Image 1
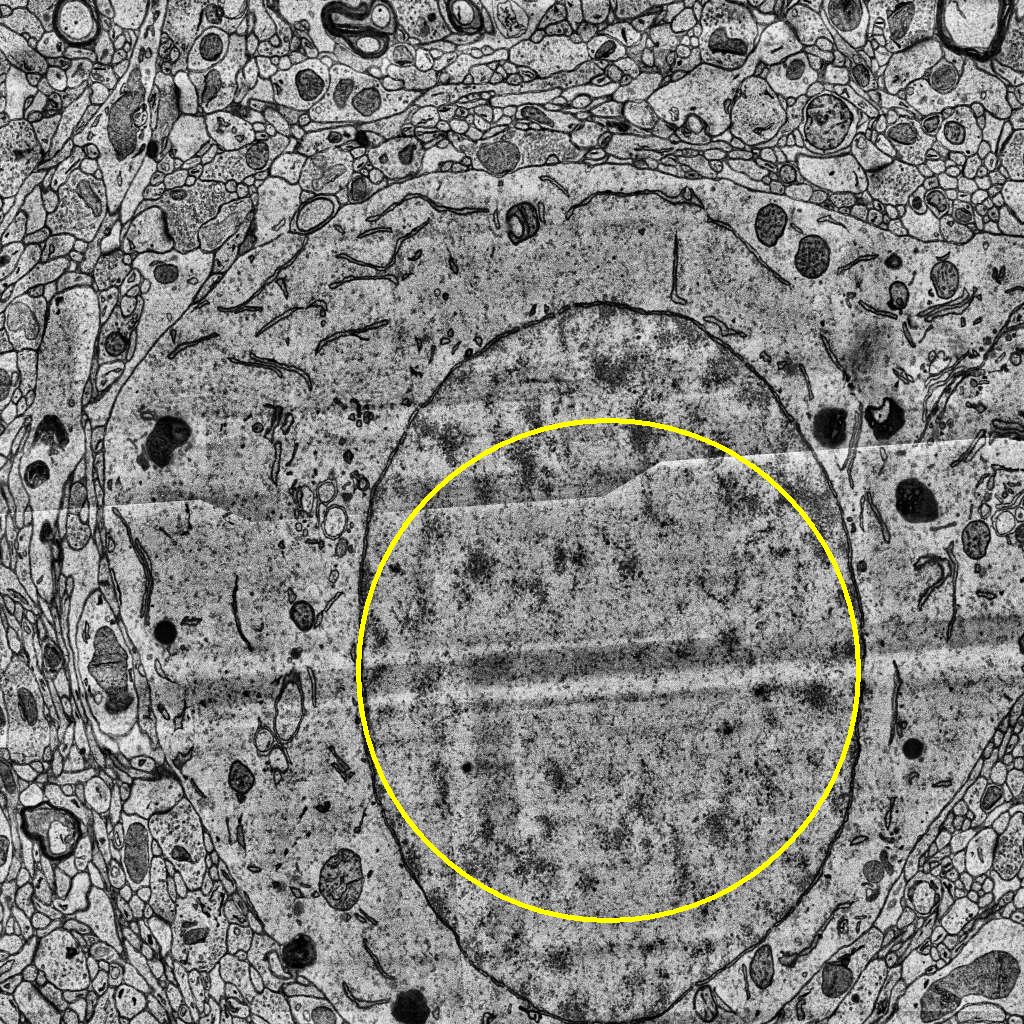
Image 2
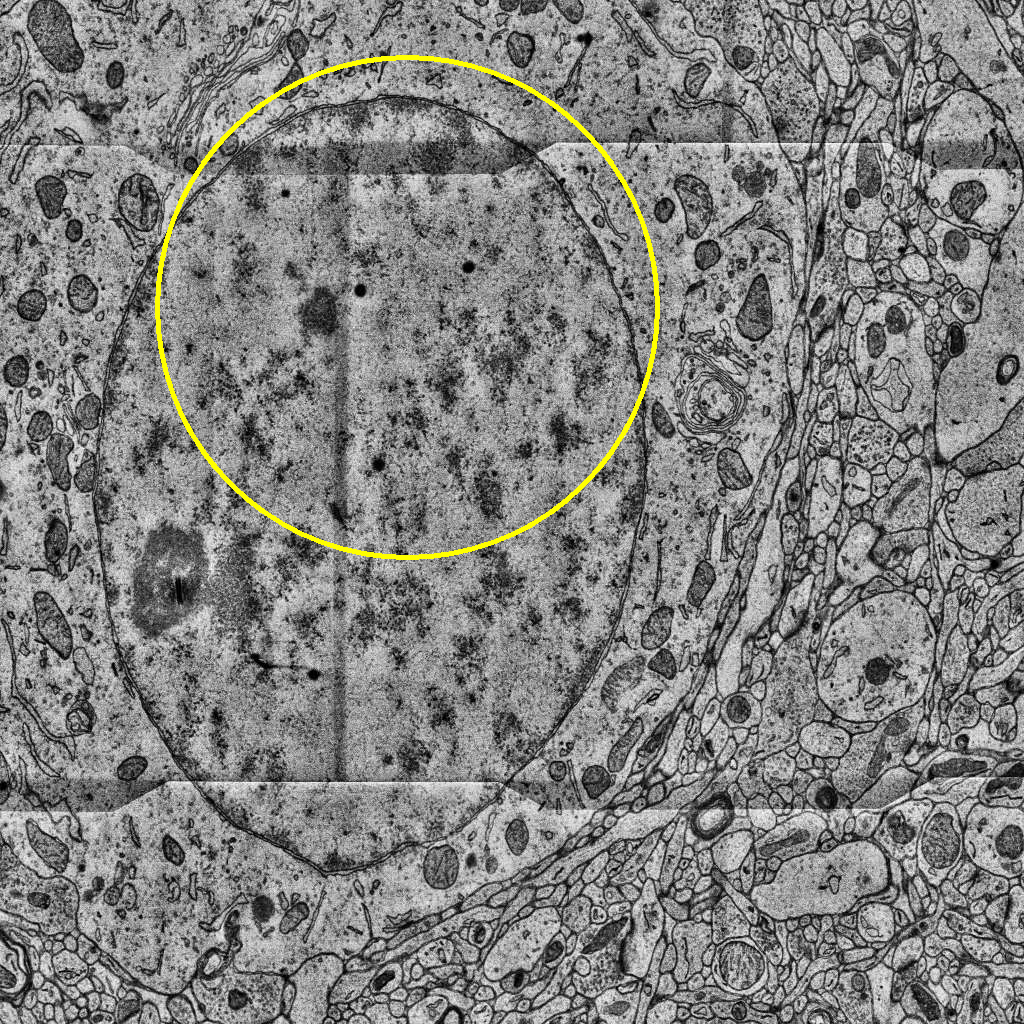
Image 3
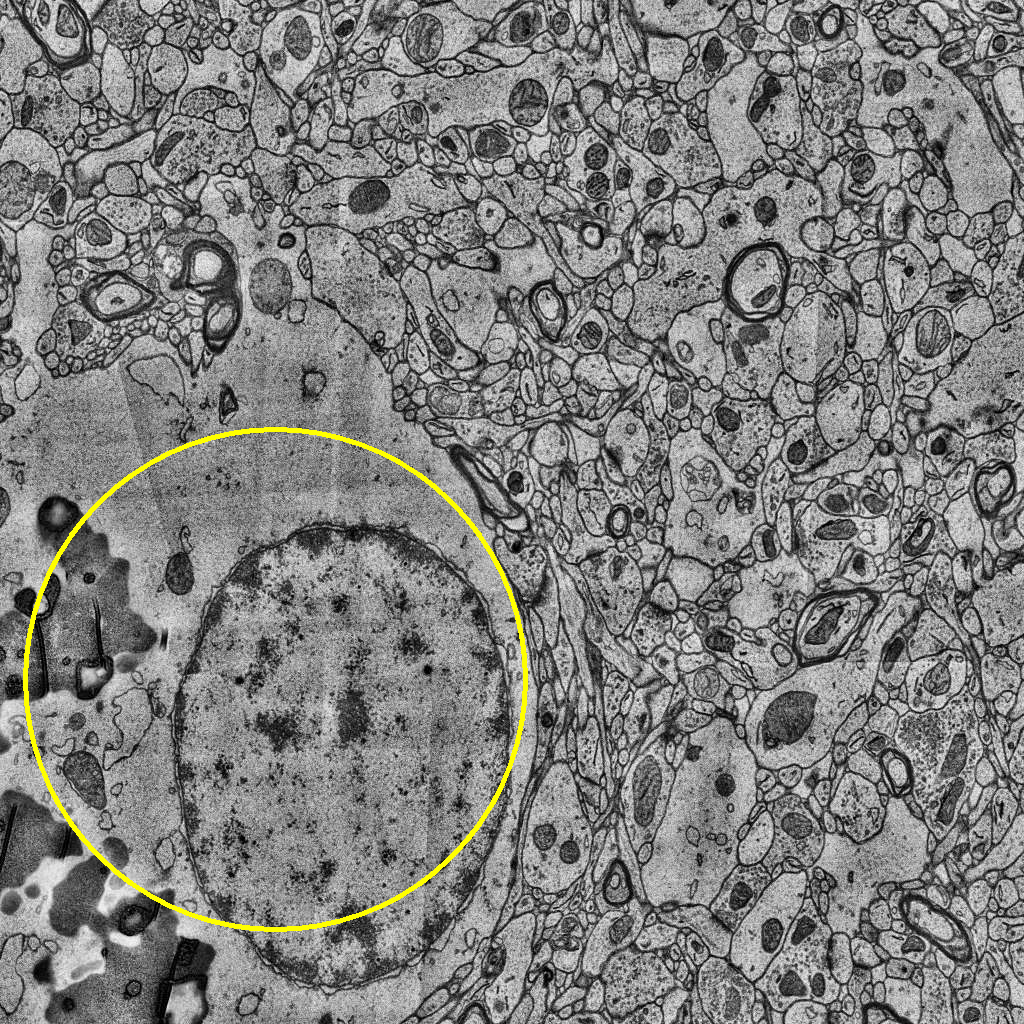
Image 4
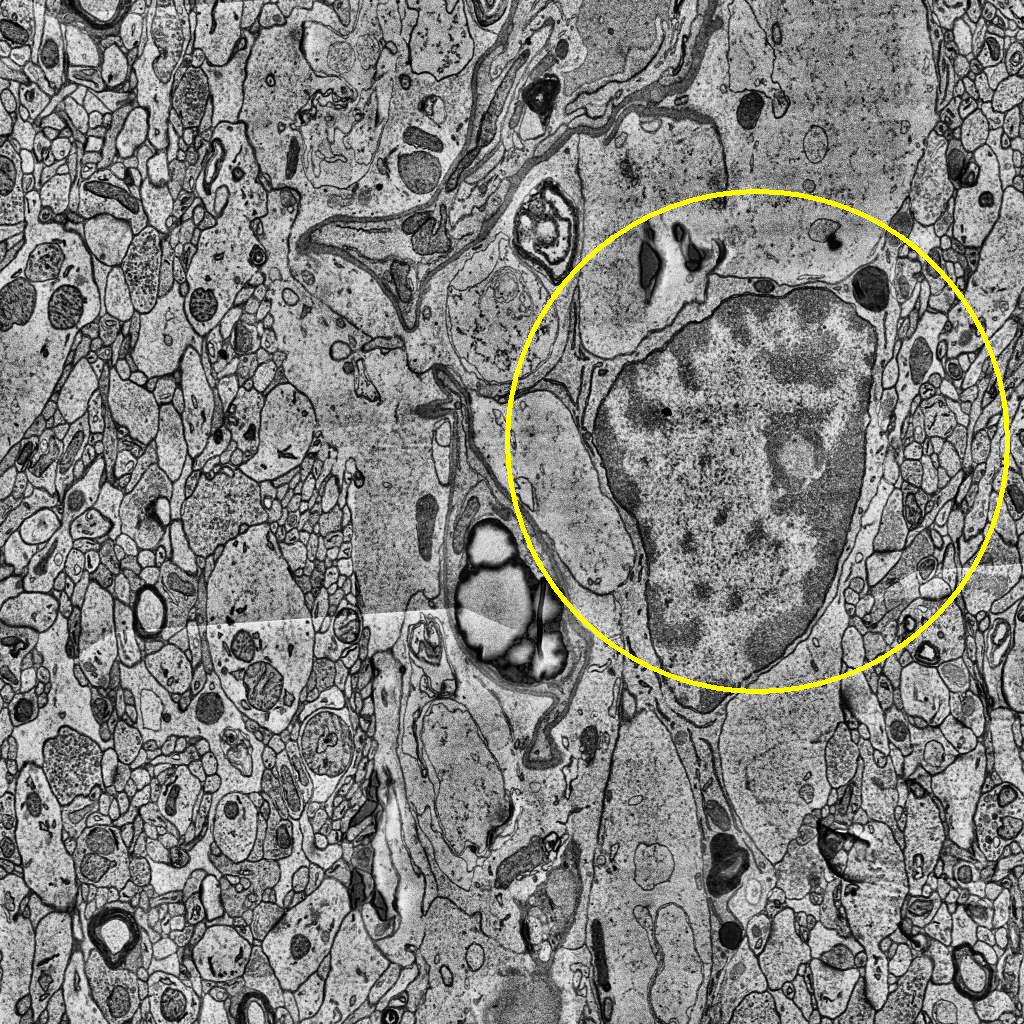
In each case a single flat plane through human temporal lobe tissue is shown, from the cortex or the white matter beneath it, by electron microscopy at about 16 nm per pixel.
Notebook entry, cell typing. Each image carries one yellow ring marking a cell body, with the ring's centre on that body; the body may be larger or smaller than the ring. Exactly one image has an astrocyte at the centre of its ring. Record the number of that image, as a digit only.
3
